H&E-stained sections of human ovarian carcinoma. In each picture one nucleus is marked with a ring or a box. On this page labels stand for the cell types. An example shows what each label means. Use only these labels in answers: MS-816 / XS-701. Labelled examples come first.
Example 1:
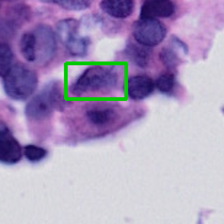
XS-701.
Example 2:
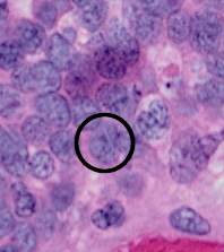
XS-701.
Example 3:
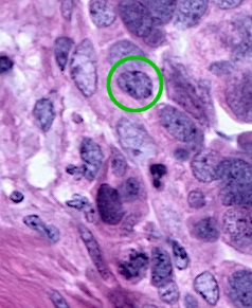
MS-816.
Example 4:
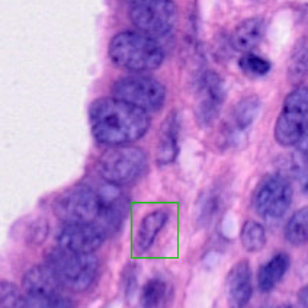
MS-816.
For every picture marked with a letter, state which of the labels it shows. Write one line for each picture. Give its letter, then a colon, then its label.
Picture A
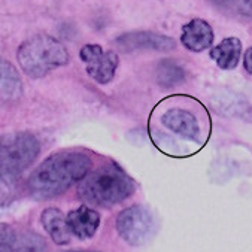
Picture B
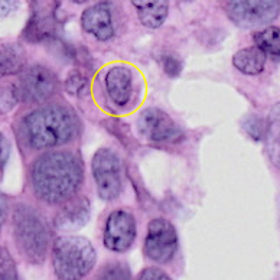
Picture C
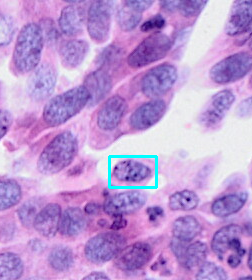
A: MS-816.
B: MS-816.
C: MS-816.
